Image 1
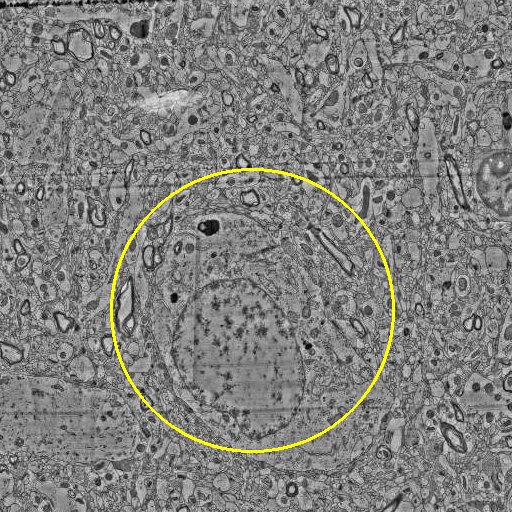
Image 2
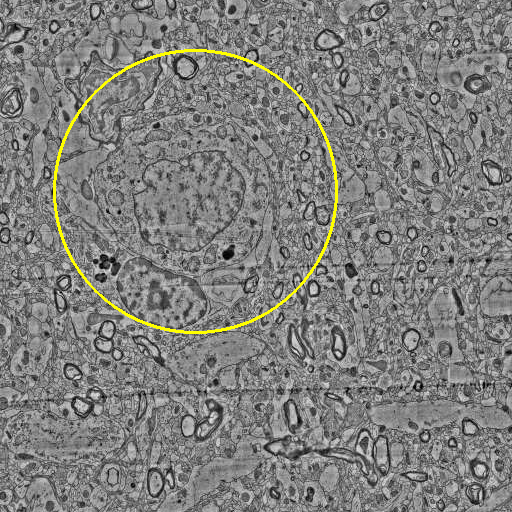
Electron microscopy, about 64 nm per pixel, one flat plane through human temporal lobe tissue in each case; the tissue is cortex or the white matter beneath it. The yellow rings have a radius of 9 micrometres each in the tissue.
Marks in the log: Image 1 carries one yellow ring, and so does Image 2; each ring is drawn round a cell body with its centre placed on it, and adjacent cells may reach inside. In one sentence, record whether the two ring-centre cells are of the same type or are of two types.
The two cells at the ring centres, one in each image, are of the same type.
